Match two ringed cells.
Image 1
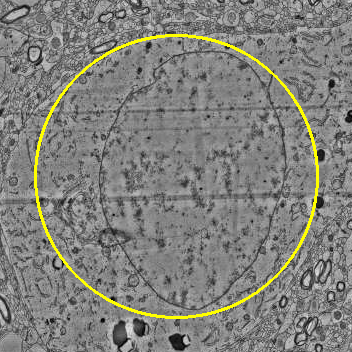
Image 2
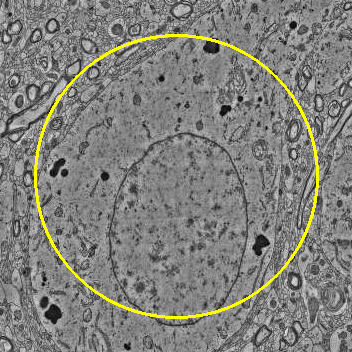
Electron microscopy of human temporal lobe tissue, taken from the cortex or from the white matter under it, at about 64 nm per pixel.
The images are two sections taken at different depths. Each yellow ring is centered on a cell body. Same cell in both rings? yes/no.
no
